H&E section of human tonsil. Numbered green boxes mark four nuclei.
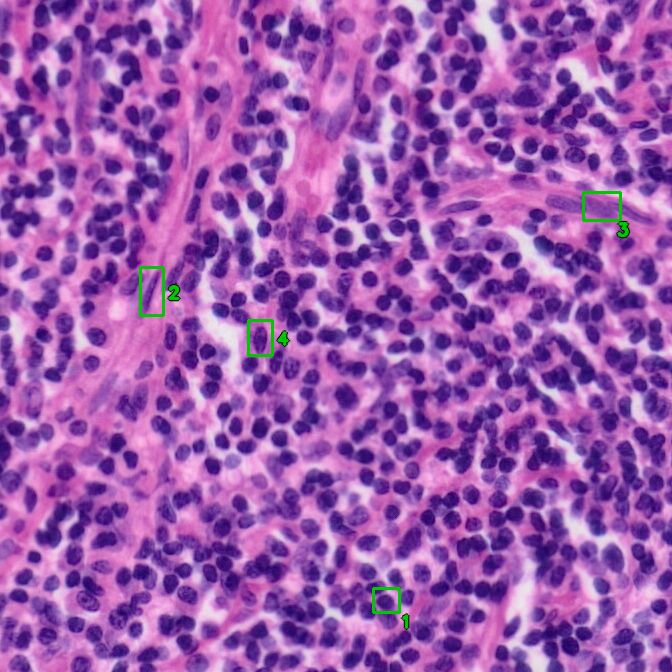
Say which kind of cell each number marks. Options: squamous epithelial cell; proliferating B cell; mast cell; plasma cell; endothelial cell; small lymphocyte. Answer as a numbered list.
1. small lymphocyte
2. endothelial cell
3. endothelial cell
4. plasma cell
